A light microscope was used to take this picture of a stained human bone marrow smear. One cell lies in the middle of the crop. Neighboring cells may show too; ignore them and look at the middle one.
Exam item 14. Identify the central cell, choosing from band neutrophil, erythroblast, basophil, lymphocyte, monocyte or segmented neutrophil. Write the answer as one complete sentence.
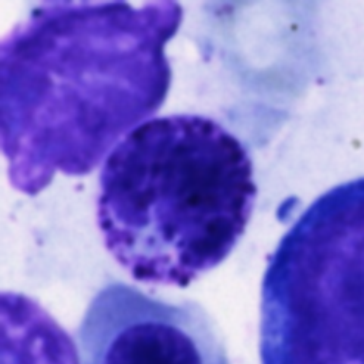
Here the centrally located cell is a basophil.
